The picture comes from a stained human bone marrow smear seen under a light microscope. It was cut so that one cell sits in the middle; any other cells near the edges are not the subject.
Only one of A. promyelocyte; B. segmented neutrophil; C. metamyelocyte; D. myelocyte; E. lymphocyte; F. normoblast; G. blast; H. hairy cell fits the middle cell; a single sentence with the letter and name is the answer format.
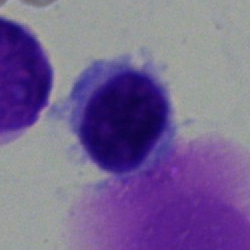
Correctly, option H names the cell in the middle a hairy cell.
